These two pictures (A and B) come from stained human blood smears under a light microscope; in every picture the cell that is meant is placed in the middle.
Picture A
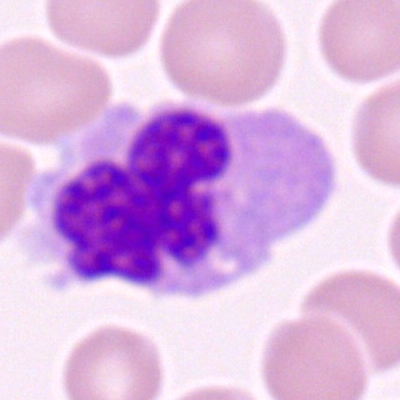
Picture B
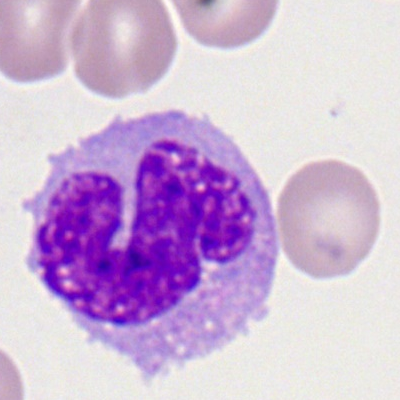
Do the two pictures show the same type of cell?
yes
